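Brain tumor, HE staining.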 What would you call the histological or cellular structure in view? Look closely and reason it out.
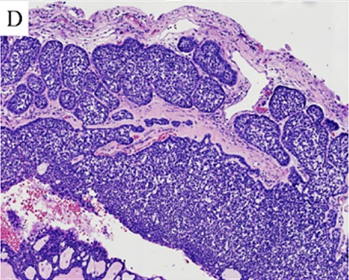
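Solid pattern. Large continuous sheets of densely packed tumor cells. Few lumens or spaces break up the cell mass.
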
